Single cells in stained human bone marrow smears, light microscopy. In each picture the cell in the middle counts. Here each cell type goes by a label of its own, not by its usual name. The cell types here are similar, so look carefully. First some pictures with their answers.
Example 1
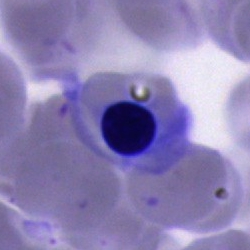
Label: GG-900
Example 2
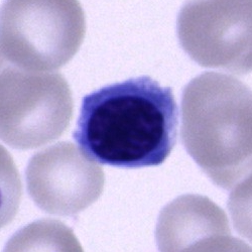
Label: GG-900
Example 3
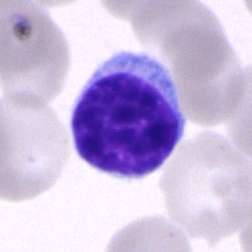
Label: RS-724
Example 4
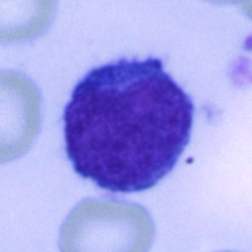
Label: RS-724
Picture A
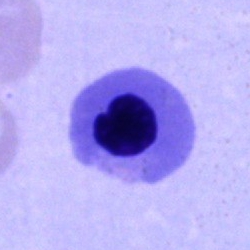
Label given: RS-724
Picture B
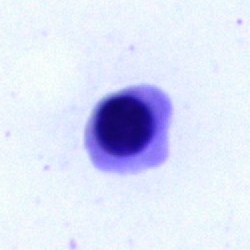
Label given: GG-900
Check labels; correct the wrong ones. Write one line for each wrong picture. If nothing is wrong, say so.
A should be GG-900, not RS-724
